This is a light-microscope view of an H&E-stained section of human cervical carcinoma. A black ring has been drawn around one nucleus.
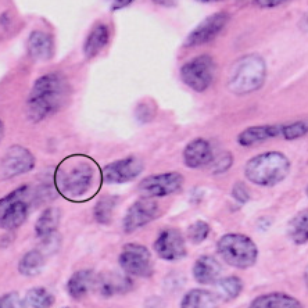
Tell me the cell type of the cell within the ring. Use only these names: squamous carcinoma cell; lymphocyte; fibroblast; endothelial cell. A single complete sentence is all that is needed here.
Considered by cell type, the cell within the ring is a squamous carcinoma cell.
